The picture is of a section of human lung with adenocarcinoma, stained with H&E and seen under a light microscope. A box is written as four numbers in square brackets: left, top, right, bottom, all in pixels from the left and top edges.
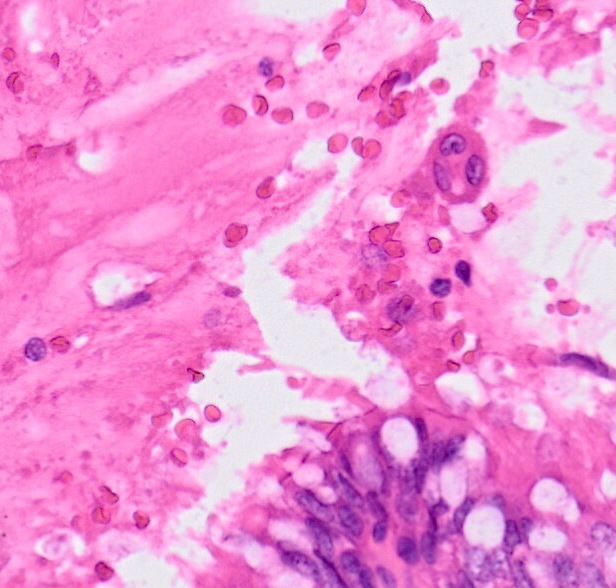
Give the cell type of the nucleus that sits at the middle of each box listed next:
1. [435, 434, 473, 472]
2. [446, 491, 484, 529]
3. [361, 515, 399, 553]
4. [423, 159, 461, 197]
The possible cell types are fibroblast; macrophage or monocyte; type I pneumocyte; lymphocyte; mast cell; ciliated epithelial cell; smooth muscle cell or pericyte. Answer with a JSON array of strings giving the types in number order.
["ciliated epithelial cell", "ciliated epithelial cell", "ciliated epithelial cell", "macrophage or monocyte"]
